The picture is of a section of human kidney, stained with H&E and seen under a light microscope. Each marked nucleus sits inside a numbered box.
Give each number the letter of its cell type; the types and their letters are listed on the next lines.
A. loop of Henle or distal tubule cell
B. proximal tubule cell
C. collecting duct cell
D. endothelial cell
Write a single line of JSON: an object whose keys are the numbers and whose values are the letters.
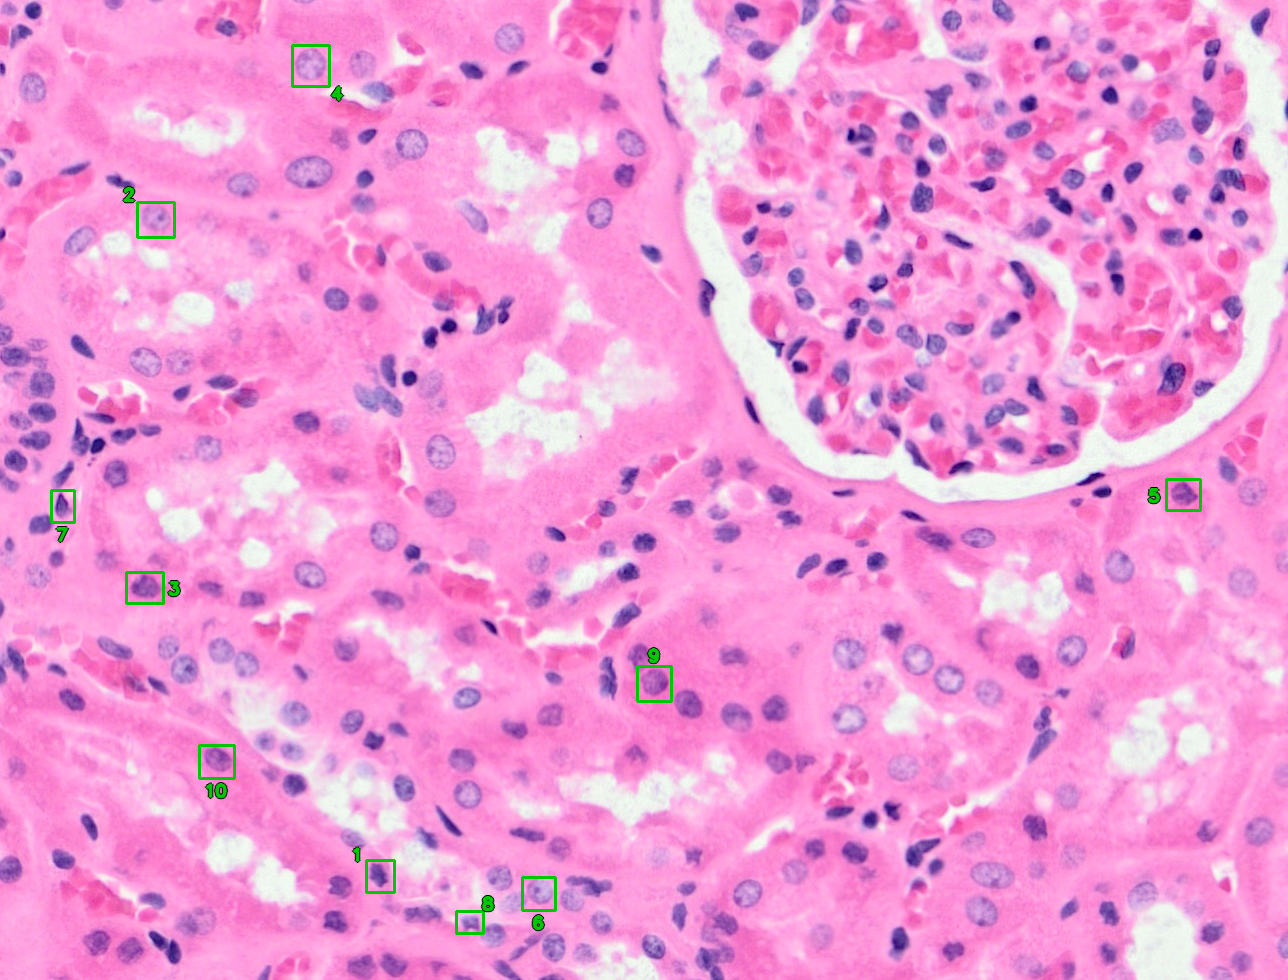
{"1": "A", "2": "B", "3": "B", "4": "B", "5": "B", "6": "A", "7": "D", "8": "A", "9": "B", "10": "B"}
